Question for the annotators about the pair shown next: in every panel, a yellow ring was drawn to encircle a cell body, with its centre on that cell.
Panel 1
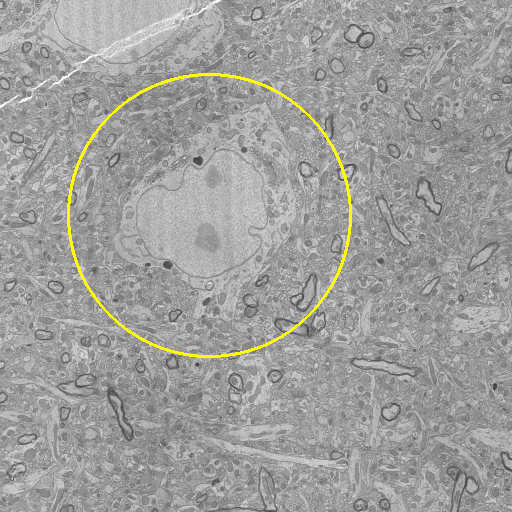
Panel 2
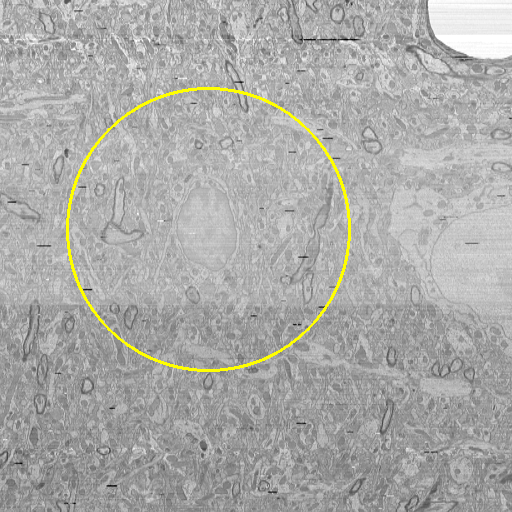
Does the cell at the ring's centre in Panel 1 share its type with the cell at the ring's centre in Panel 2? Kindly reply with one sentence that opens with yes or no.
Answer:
No, in Panels 1 and 2 the cells at the ring centres belong to separate types.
